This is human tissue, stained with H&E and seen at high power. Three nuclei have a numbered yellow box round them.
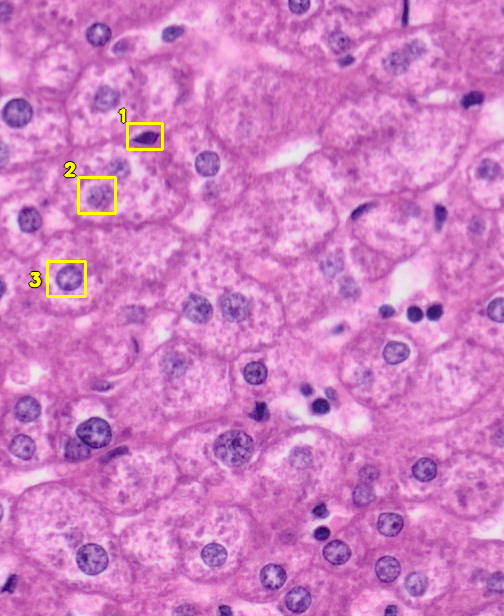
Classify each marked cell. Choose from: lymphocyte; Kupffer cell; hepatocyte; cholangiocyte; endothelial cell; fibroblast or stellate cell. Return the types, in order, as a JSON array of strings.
["endothelial cell", "hepatocyte", "hepatocyte"]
